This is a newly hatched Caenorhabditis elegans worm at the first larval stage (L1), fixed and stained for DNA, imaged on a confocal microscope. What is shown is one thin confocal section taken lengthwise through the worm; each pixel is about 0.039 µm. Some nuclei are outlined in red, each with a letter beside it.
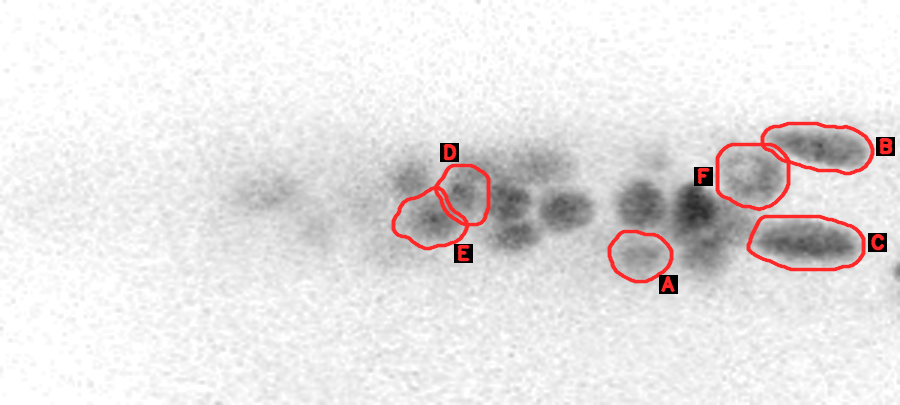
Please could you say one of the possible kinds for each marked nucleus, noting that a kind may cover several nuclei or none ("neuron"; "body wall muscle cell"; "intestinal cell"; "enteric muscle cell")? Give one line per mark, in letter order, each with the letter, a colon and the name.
A: neuron
B: body wall muscle cell
C: enteric muscle cell
D: neuron
E: neuron
F: intestinal cell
